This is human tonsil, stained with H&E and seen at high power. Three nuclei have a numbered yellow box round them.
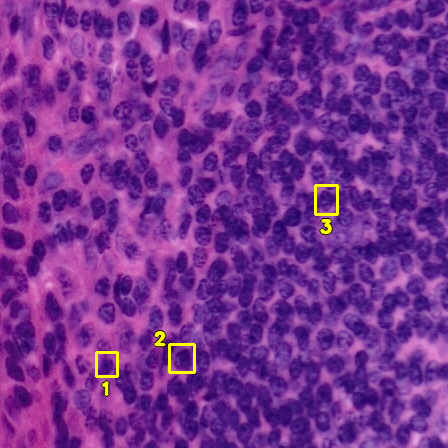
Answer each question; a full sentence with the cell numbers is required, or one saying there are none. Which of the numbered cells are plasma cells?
Of all the cells bearing numbers, cell 1 is the only one that is a plasma cell.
